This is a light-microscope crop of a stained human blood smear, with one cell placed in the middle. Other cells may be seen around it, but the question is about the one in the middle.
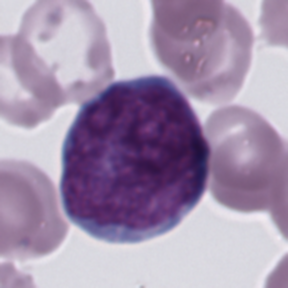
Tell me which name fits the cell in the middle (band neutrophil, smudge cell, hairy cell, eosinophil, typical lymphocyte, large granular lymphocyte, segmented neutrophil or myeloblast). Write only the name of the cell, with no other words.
myeloblast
